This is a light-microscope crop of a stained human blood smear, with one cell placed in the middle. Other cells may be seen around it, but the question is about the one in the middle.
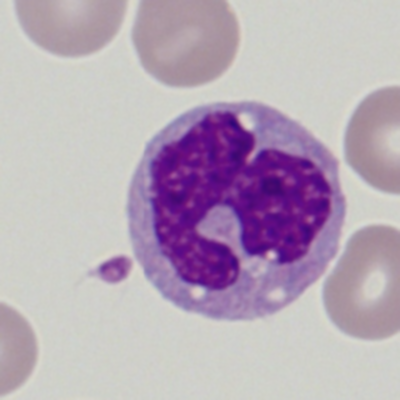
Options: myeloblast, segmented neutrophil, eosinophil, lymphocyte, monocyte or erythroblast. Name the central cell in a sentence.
In the crop, the cell of interest at the centre is a monocyte.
